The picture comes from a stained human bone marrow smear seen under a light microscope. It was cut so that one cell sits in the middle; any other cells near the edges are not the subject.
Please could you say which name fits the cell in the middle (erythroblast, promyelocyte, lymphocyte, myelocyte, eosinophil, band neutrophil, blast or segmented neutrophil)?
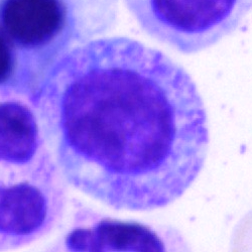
promyelocyte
